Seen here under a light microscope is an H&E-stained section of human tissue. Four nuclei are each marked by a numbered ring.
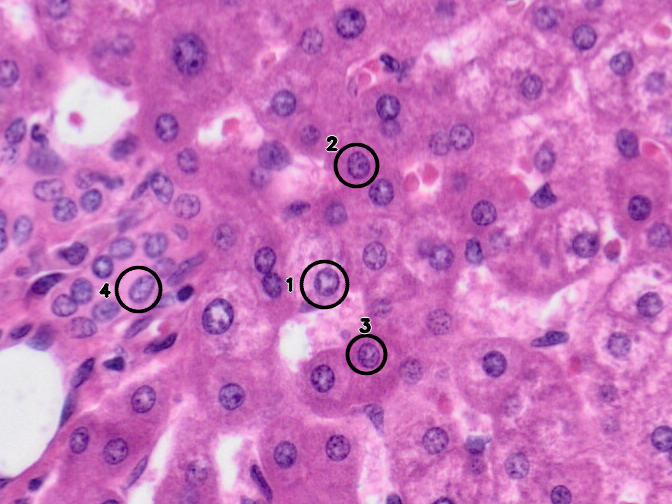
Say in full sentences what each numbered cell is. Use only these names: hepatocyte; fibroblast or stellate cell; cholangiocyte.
Cells 1, 2 and 3 are hepatocytes. Cell 4 is a cholangiocyte.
